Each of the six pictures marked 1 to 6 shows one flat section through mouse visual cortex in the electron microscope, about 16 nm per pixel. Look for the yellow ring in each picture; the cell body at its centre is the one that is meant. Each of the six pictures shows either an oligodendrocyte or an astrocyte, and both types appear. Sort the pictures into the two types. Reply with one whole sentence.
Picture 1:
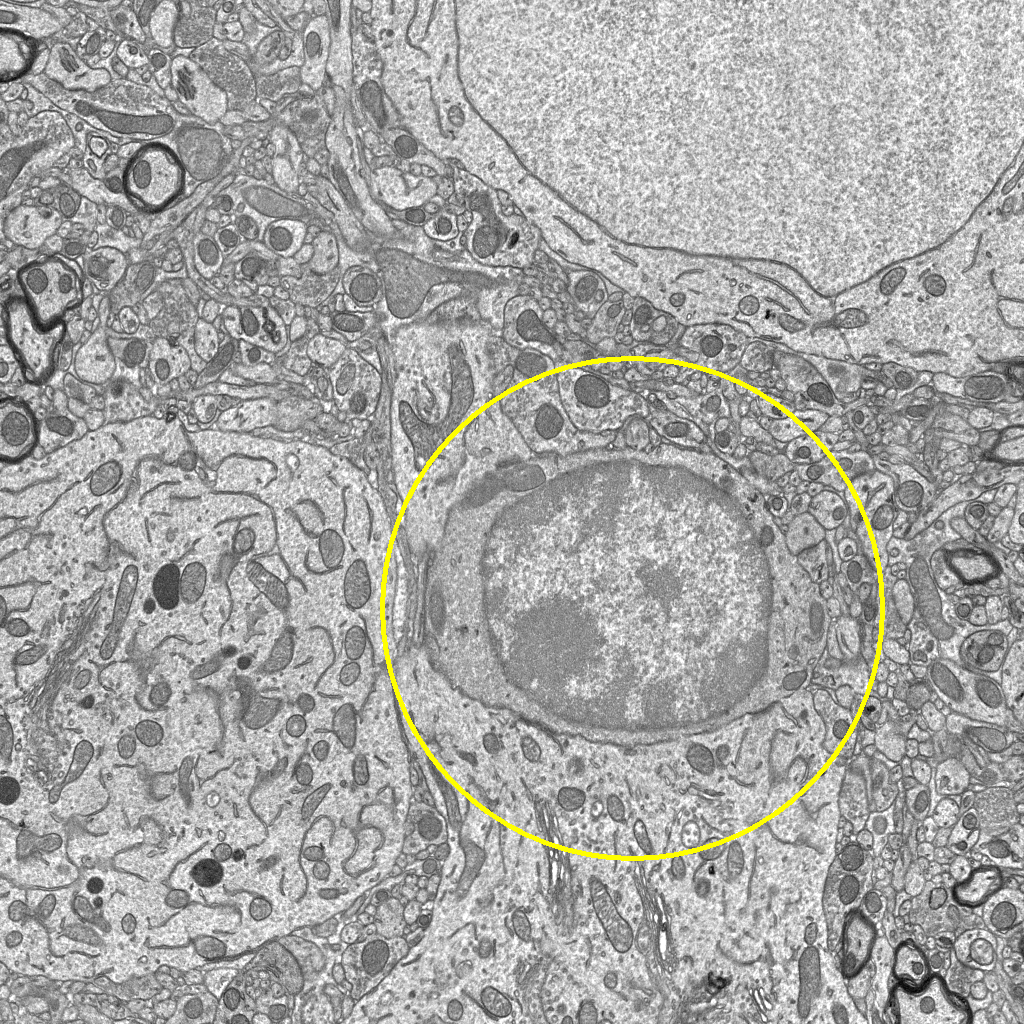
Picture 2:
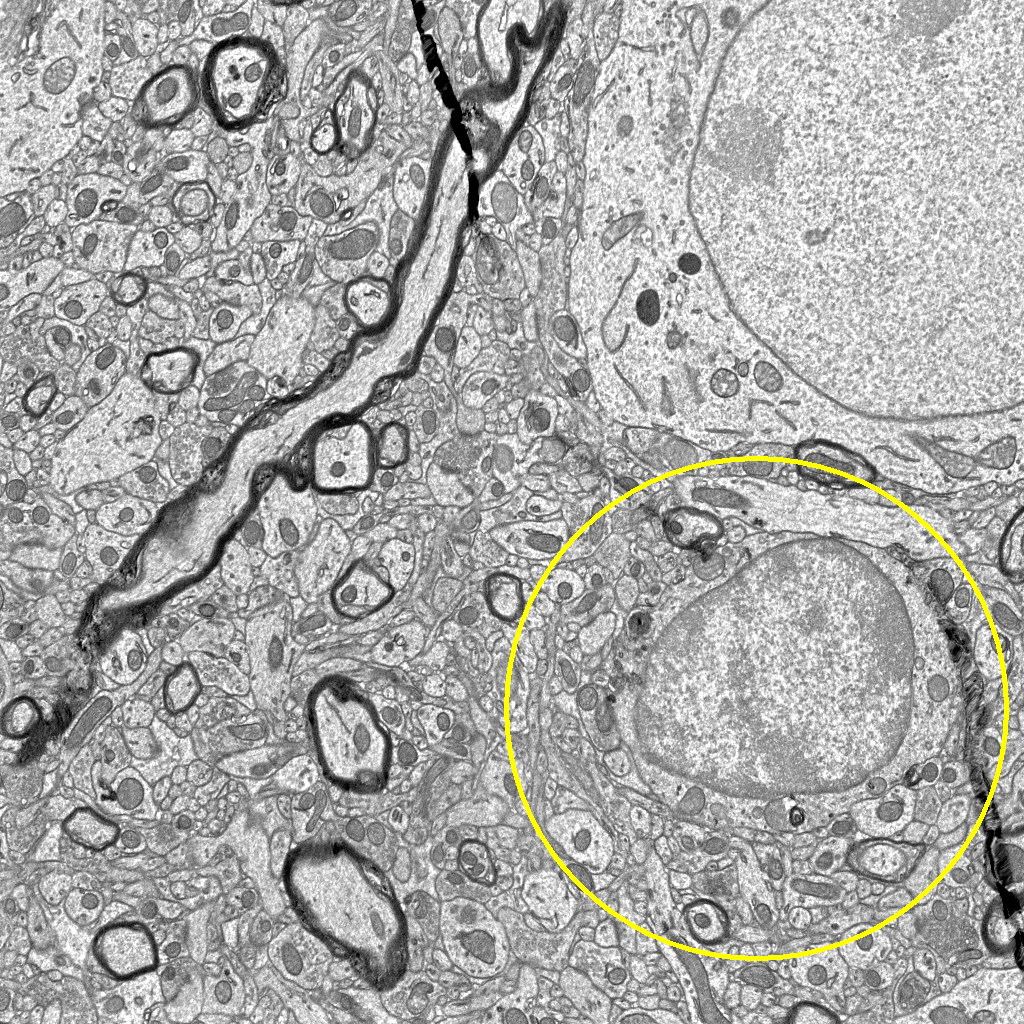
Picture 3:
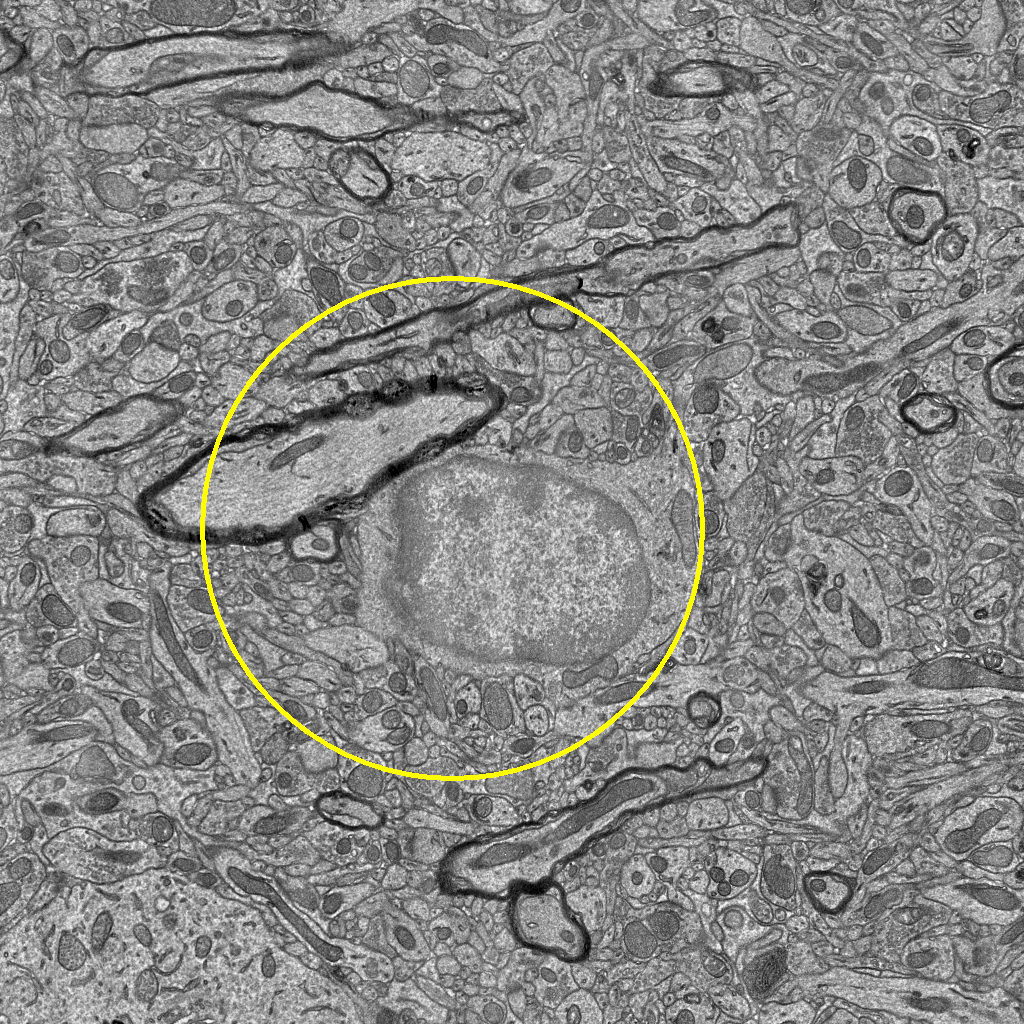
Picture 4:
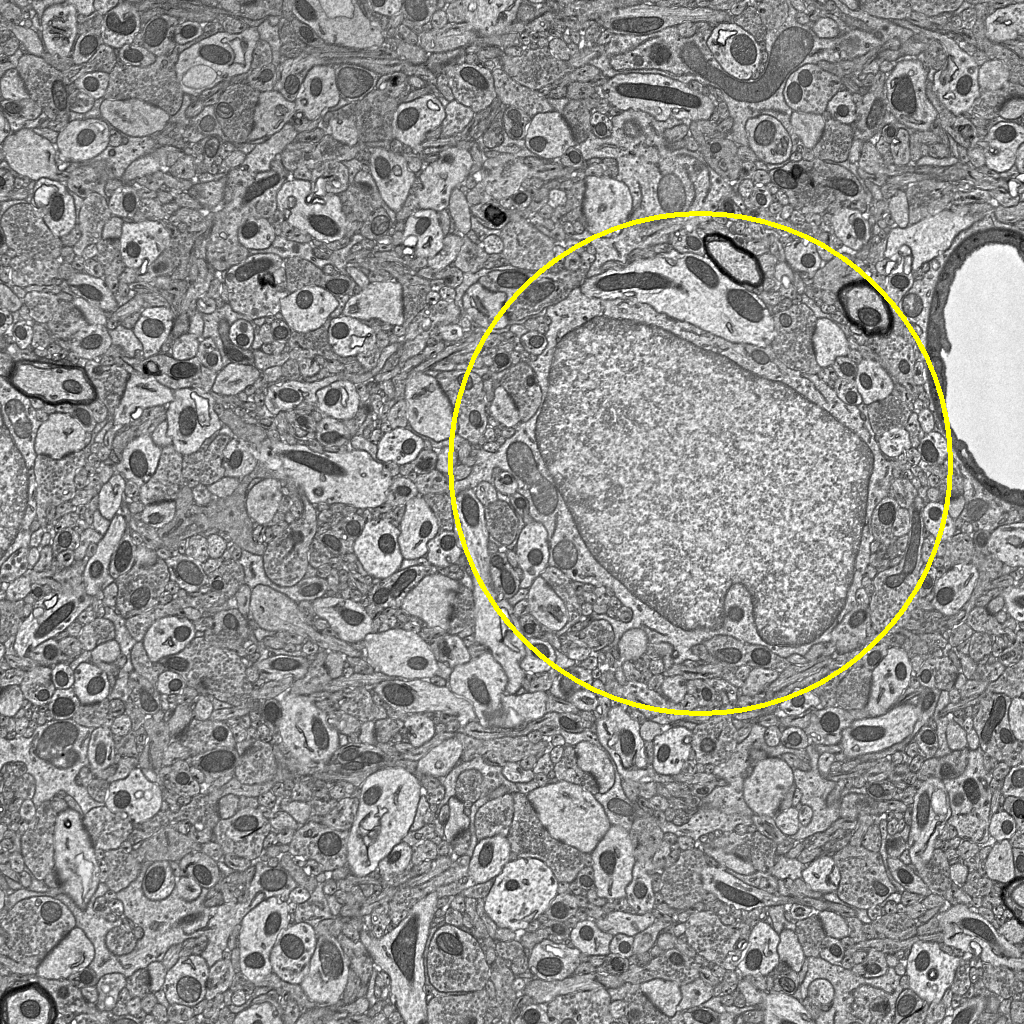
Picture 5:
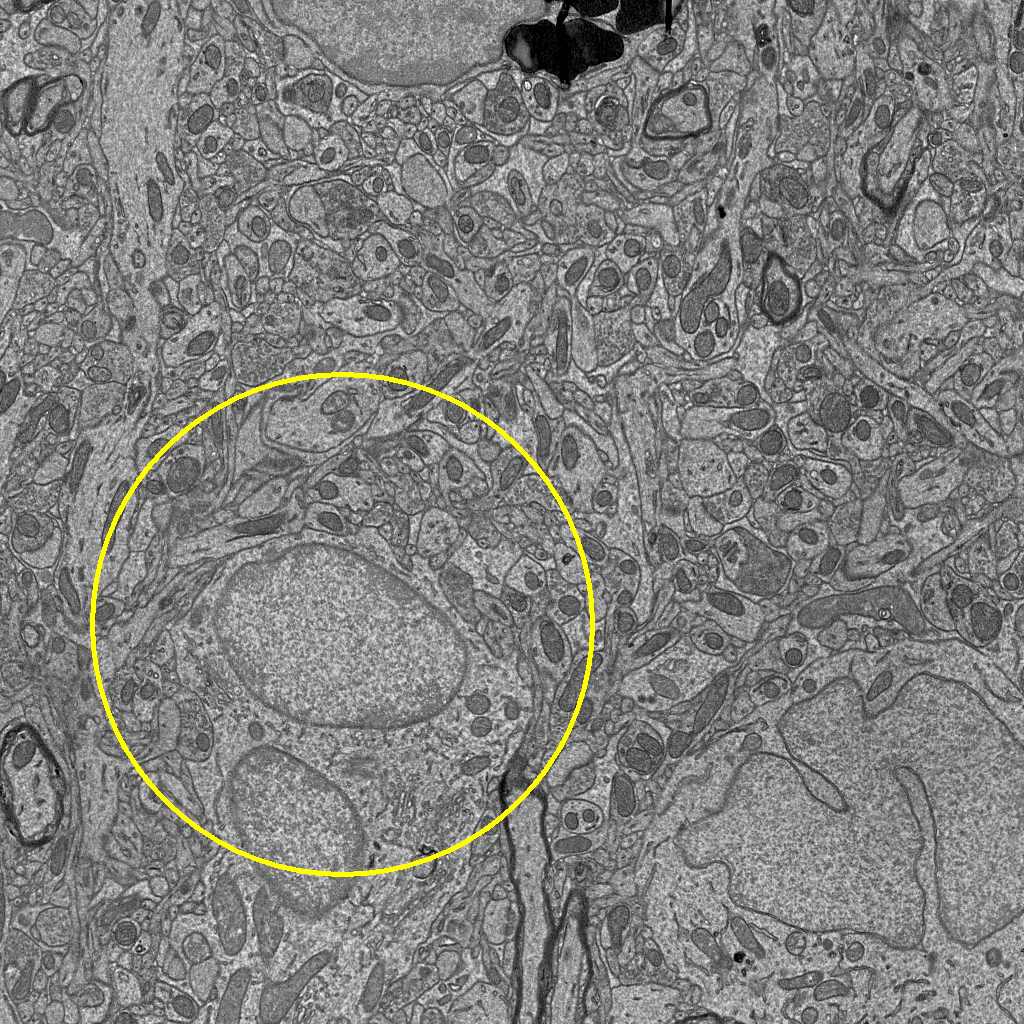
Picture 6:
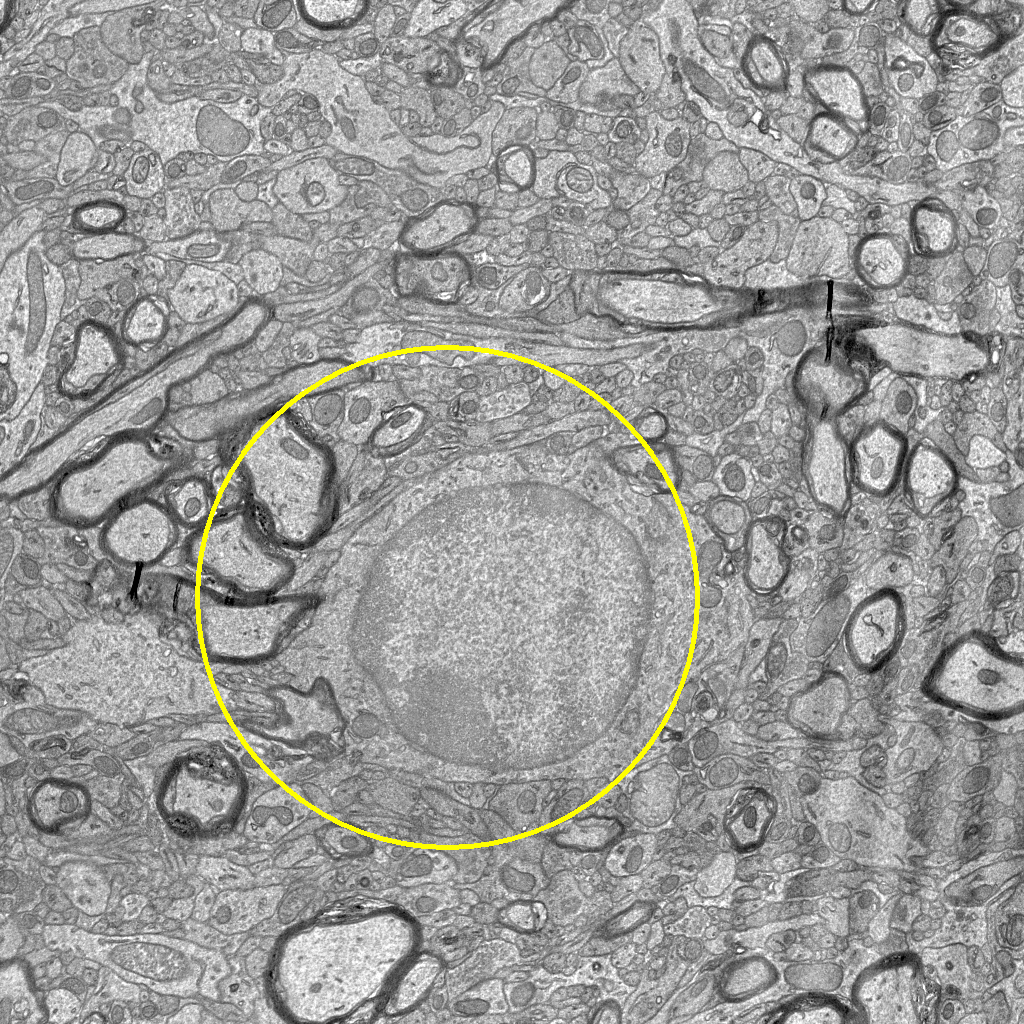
Pictures 1, 2, 3 and 6 show oligodendrocytes, and pictures 4 and 5 show astrocytes.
